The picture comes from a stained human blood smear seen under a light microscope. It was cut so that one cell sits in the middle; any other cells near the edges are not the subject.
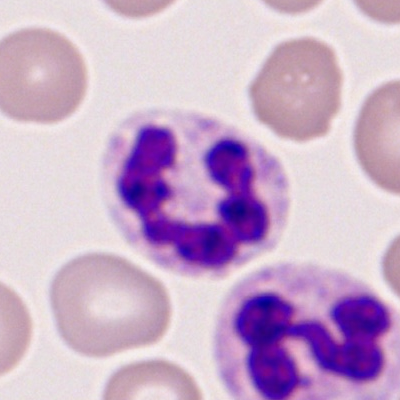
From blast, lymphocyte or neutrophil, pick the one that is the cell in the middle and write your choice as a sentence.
At the center of the crop sits a neutrophil.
